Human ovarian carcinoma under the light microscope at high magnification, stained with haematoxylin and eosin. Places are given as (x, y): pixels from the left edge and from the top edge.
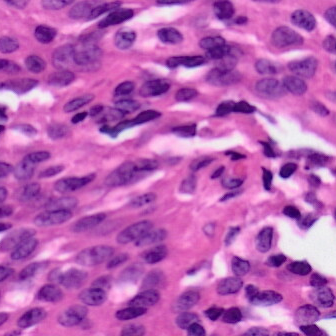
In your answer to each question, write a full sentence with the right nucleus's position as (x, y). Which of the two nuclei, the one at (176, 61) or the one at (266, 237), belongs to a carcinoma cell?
Of the two nuclei, the nucleus belonging to a carcinoma cell is located at (176, 61).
